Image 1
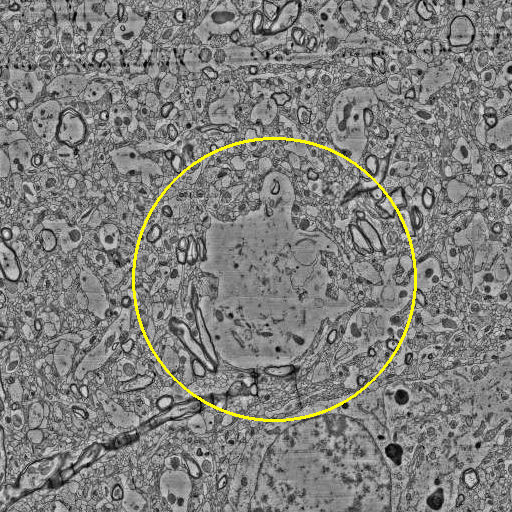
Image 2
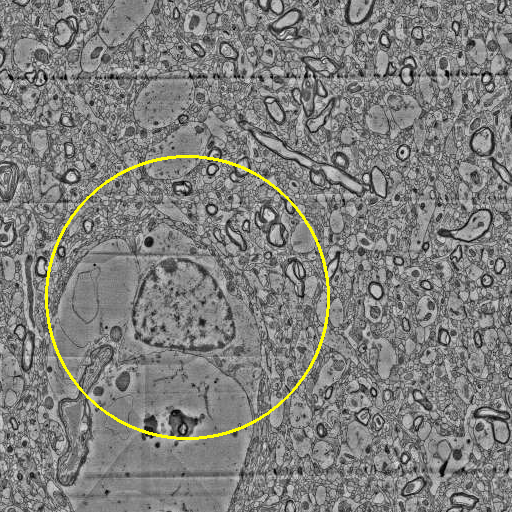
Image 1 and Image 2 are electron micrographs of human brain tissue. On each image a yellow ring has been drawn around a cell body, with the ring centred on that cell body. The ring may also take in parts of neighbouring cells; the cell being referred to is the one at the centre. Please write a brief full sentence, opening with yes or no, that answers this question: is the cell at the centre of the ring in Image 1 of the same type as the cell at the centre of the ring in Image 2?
No, the two cells are of two types.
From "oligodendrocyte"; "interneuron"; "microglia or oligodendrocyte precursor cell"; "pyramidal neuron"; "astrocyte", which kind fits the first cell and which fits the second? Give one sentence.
The cell marked in the first picture is an astrocyte, and the one marked in the second is a microglial cell or oligodendrocyte precursor cell.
